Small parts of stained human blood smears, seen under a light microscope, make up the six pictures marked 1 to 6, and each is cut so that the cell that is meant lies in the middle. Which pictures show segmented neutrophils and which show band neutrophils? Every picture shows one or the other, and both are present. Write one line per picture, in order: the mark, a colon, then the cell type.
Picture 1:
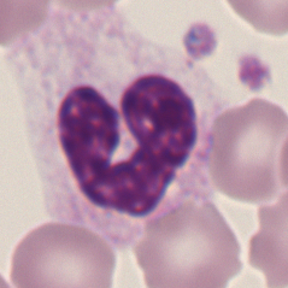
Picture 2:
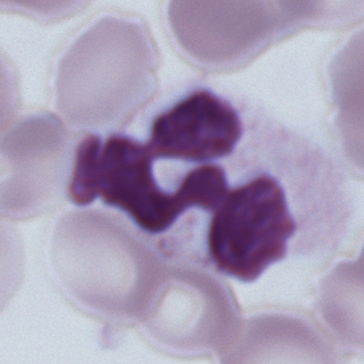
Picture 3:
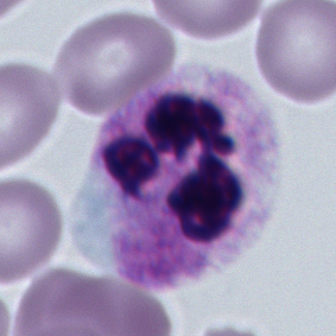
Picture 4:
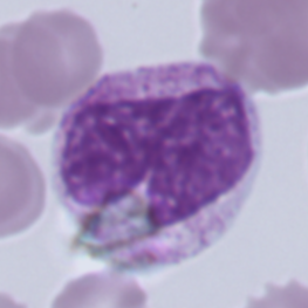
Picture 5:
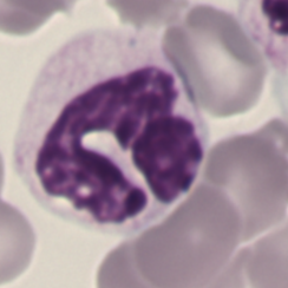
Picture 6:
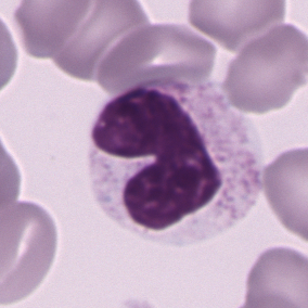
1: segmented neutrophil
2: segmented neutrophil
3: segmented neutrophil
4: band neutrophil
5: segmented neutrophil
6: band neutrophil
